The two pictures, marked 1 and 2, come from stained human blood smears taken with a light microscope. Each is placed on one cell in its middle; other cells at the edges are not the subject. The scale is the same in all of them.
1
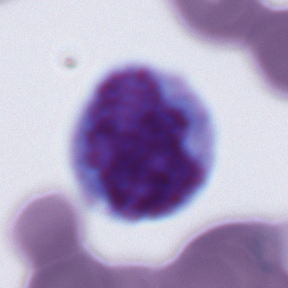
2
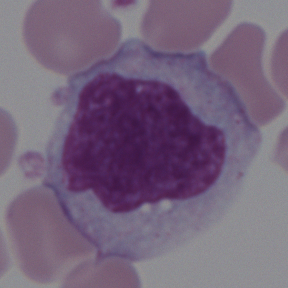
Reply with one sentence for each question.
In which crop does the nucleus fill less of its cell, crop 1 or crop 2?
It is the cell in crop 2 that is filled less by its nucleus.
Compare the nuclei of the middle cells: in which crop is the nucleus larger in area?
Crop 2 shows the larger nucleus; it covers about 1.5 times the area of the nucleus in crop 1.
